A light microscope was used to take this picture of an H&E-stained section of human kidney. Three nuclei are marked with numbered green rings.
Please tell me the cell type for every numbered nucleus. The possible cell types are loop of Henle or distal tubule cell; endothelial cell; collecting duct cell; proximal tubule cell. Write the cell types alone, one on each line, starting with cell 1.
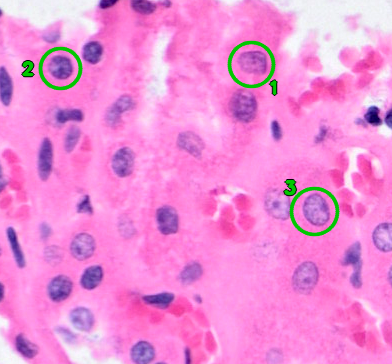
proximal tubule cell
loop of Henle or distal tubule cell
proximal tubule cell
